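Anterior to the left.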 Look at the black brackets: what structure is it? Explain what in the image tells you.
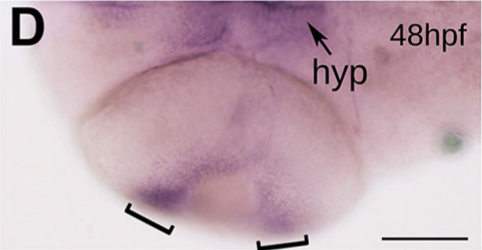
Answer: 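Ciliary marginal zone. Purple stain is concentrated at these rims. The central parts of the eyes are largely unstained.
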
